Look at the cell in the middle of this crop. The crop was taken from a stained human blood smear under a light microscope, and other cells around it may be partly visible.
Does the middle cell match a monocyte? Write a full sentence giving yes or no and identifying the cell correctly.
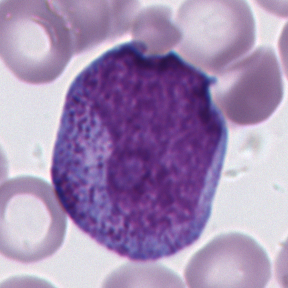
No, the centre cell counts as a promyelocyte, not as a monocyte.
